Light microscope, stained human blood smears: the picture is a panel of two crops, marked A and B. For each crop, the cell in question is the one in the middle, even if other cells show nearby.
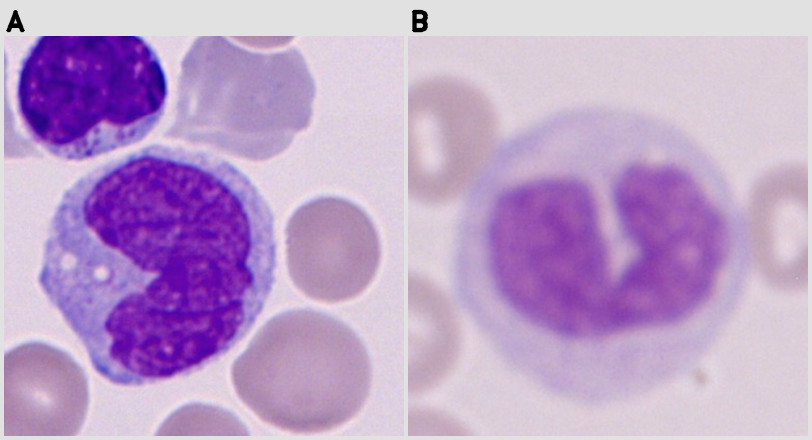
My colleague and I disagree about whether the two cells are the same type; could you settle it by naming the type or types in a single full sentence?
Yes, the two crops are alike in showing monocytes.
